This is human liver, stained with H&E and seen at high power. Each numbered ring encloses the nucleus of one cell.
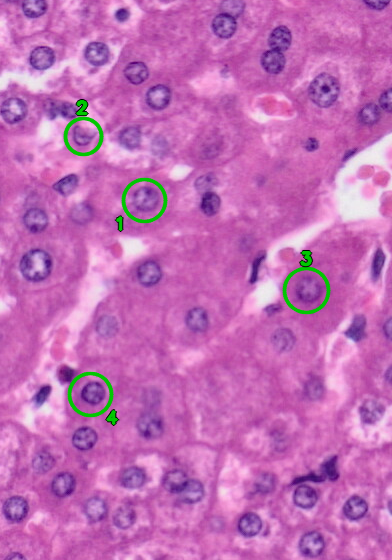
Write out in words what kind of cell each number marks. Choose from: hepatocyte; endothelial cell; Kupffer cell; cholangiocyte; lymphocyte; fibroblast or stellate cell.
Cell 1 is a hepatocyte, cell 2 is a Kupffer cell, cell 3 is a hepatocyte and cell 4 is a hepatocyte.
